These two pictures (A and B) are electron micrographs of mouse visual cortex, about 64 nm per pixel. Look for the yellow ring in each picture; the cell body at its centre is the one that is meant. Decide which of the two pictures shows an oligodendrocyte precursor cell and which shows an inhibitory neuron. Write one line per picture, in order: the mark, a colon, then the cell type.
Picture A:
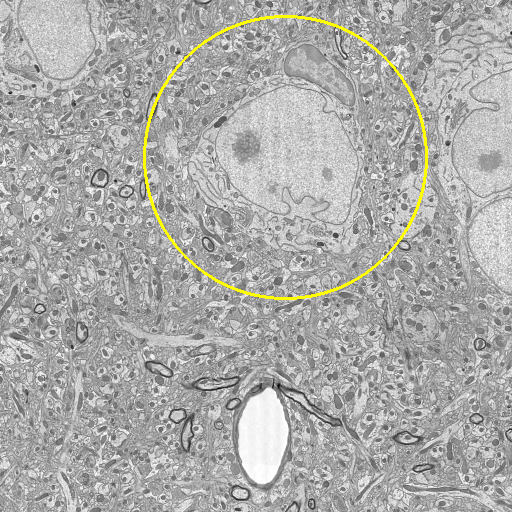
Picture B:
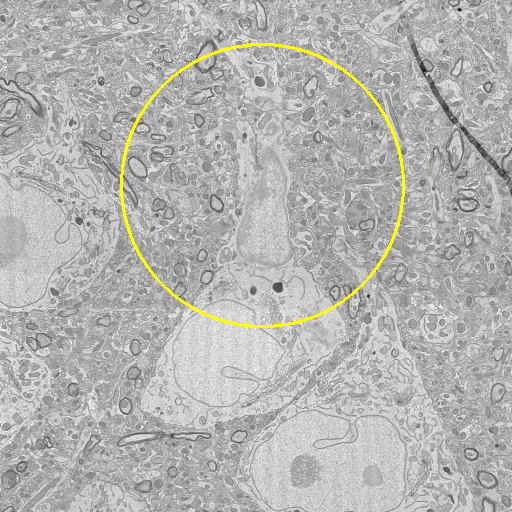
A: inhibitory neuron
B: oligodendrocyte precursor cell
